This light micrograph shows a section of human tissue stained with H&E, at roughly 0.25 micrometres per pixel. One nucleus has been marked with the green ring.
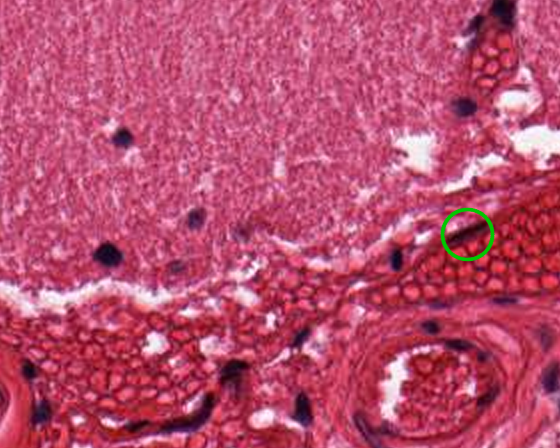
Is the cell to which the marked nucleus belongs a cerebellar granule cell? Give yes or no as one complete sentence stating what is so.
No, the marked nucleus has its place in a supporting cell rather than in a cerebellar granule cell.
